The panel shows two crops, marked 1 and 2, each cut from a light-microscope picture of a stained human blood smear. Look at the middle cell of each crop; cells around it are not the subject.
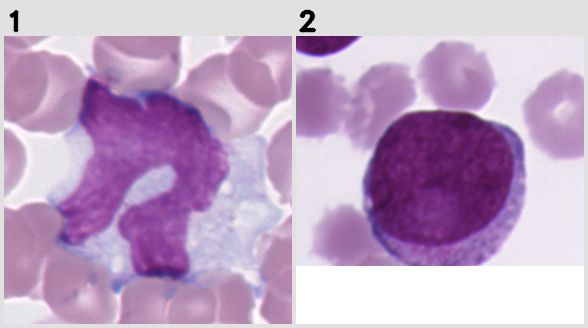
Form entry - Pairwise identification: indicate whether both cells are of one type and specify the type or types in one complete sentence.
No, at the centre of crop 1 is a monocyte, and at the centre of crop 2 is a myelocyte.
